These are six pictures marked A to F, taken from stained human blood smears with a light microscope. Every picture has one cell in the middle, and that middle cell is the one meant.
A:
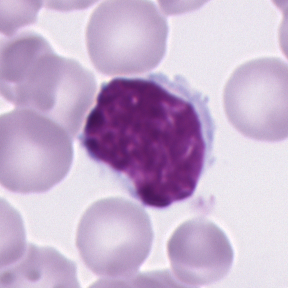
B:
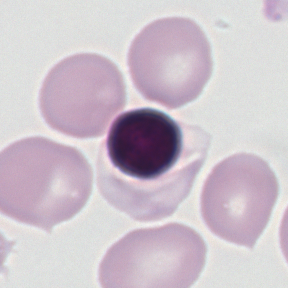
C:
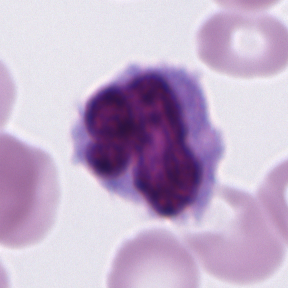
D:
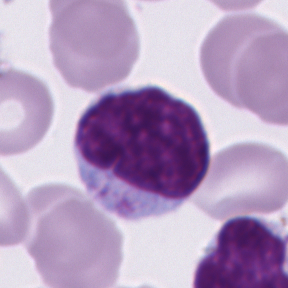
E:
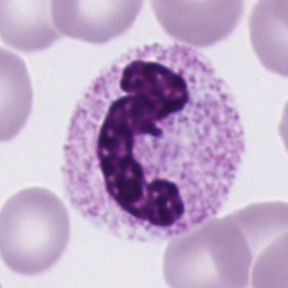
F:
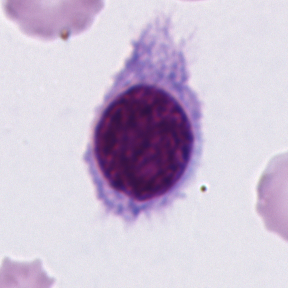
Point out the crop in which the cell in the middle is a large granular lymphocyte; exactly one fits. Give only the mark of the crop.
D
